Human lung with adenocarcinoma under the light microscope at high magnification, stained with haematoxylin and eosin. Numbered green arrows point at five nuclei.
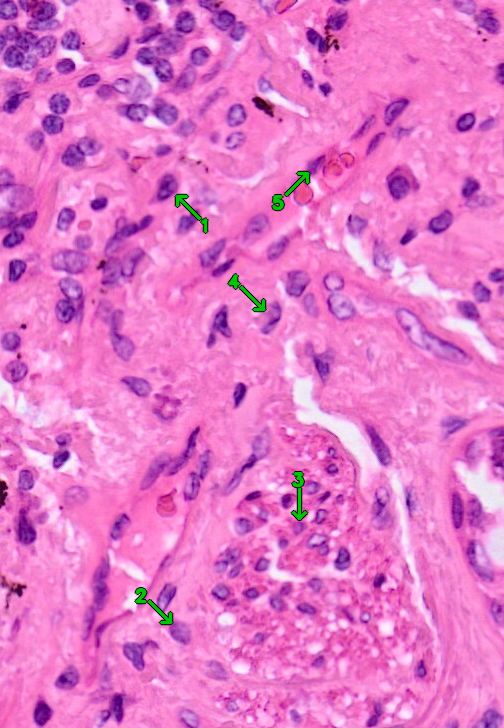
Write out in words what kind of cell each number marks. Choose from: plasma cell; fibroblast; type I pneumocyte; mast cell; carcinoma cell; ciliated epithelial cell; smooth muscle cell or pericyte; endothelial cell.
Cell 1 is a plasma cell. Cell 2 is a mast cell. Cell 3 is a smooth muscle cell or pericyte. Cell 4 is a fibroblast. Cell 5 is an endothelial cell.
